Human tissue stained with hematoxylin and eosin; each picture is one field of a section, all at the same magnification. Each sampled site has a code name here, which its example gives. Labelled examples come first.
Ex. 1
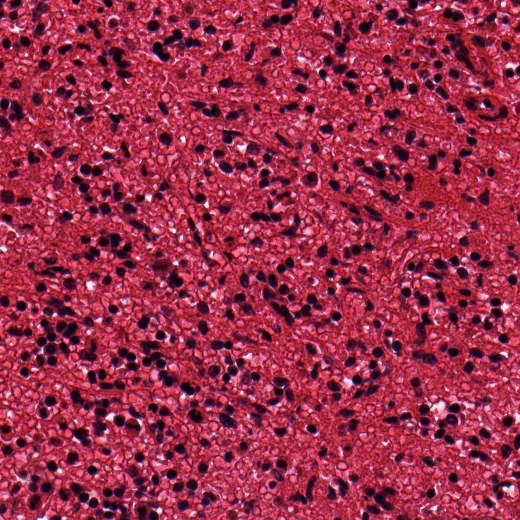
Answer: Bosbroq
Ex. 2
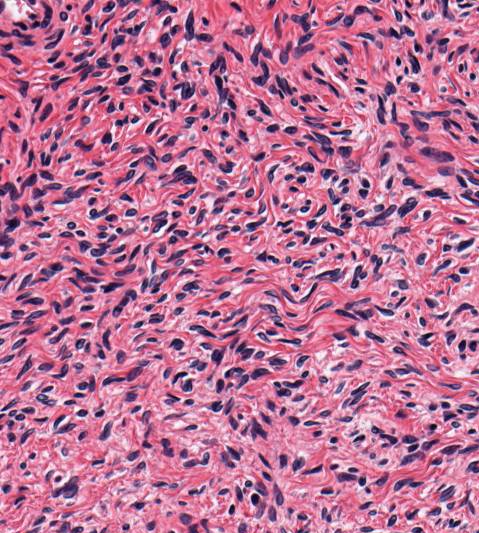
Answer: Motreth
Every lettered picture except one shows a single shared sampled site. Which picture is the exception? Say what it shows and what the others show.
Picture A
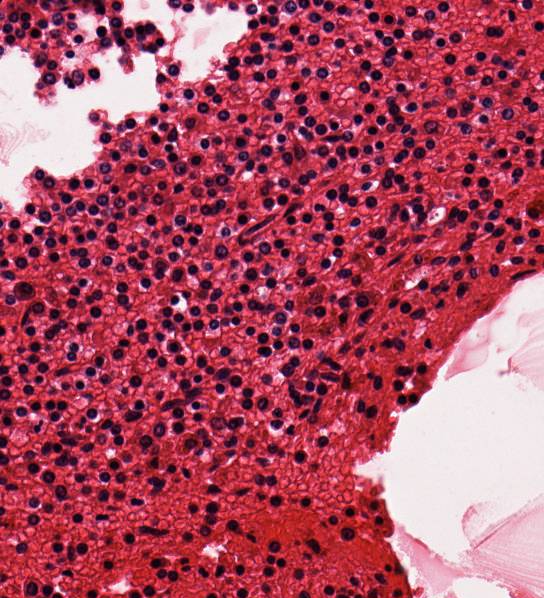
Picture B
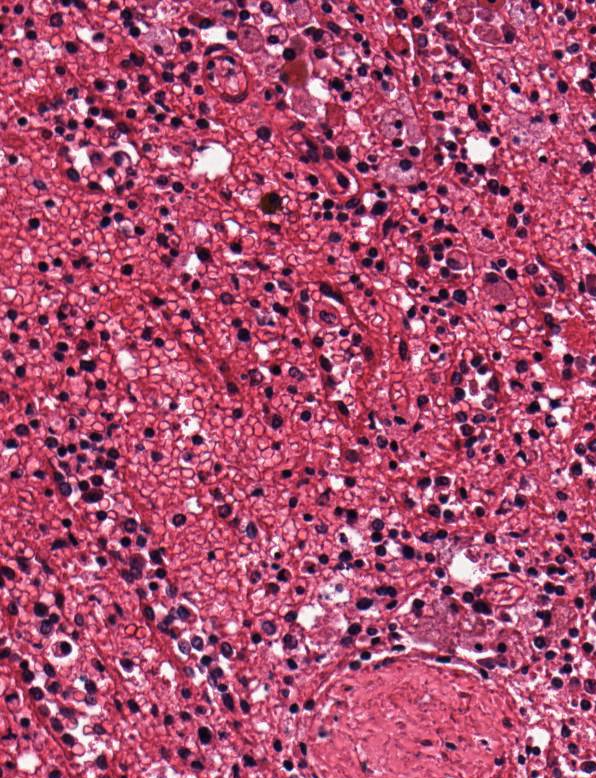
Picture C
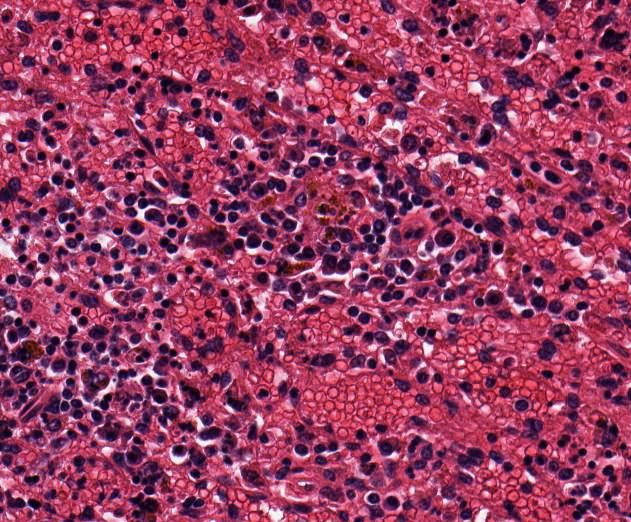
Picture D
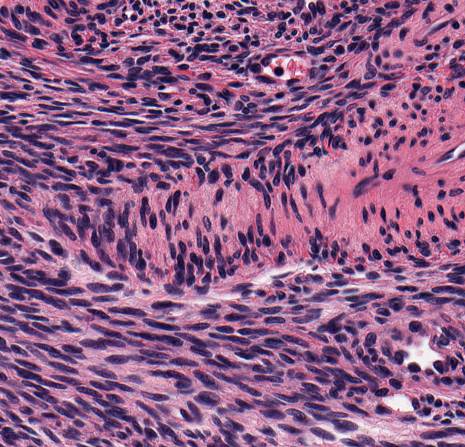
Picture D: Motreth. All others: Bosbroq.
